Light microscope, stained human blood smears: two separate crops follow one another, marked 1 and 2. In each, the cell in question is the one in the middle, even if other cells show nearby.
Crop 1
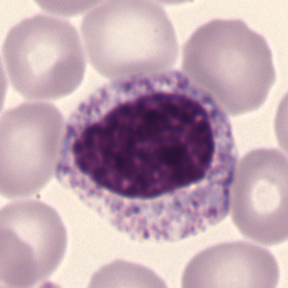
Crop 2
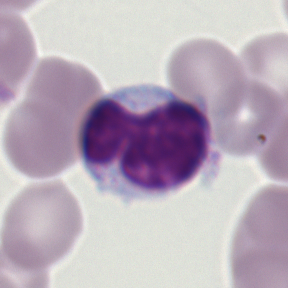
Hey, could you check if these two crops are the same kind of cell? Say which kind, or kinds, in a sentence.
No, as for crop 1, it shows a myelocyte, and crop 2 shows a large granular lymphocyte.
